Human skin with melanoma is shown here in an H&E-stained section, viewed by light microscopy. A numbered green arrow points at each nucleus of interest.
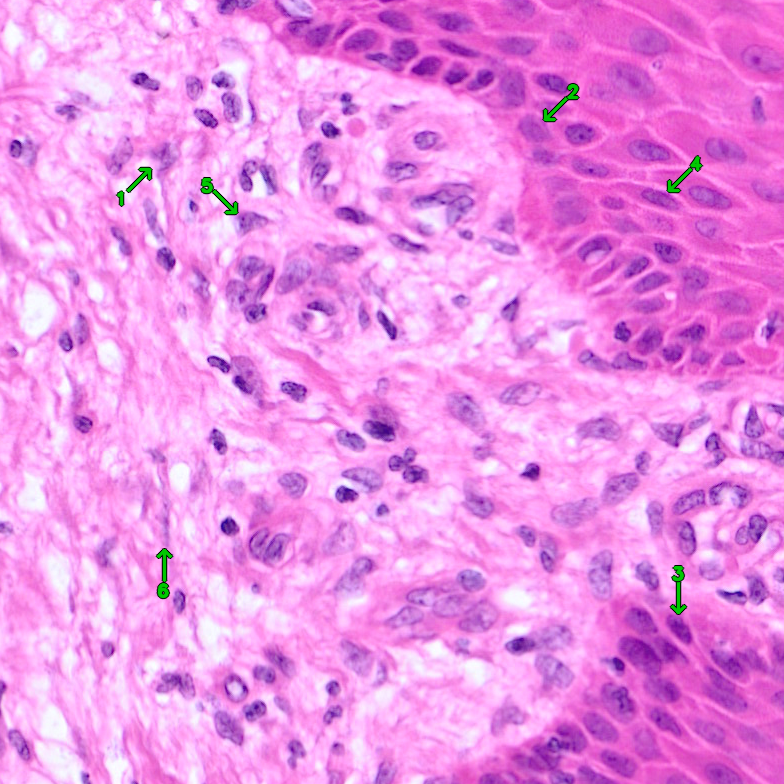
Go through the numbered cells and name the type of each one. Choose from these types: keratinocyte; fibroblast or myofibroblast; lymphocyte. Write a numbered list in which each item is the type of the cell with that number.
1. fibroblast or myofibroblast
2. keratinocyte
3. keratinocyte
4. keratinocyte
5. fibroblast or myofibroblast
6. fibroblast or myofibroblast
